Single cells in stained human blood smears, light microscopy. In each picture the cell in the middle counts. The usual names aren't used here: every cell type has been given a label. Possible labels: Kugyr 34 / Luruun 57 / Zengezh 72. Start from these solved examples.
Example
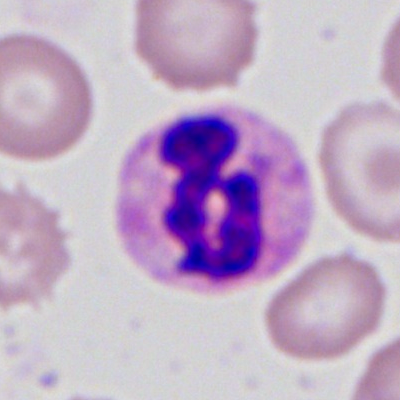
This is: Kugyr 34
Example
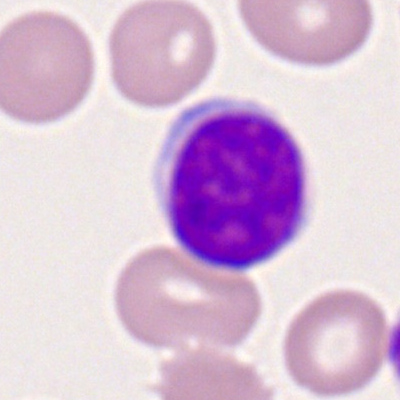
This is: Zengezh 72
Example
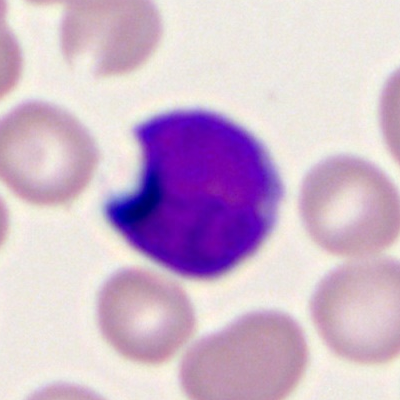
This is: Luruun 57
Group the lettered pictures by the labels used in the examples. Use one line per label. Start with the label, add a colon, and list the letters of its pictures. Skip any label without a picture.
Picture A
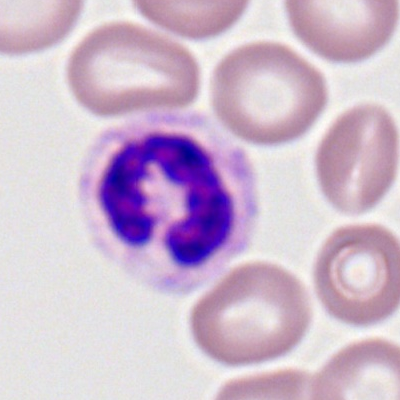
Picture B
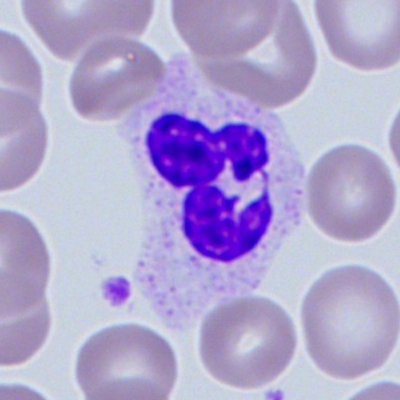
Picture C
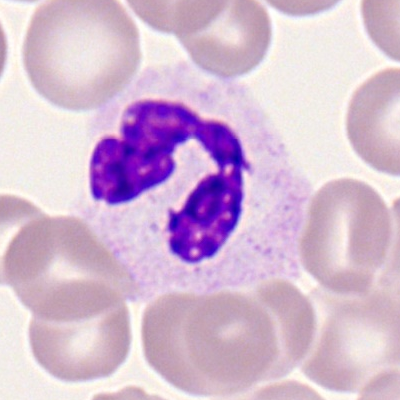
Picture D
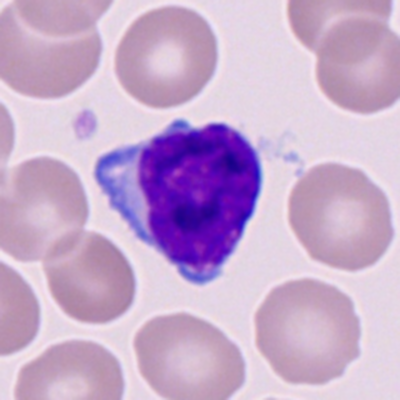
Kugyr 34: A, B, C
Zengezh 72: D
